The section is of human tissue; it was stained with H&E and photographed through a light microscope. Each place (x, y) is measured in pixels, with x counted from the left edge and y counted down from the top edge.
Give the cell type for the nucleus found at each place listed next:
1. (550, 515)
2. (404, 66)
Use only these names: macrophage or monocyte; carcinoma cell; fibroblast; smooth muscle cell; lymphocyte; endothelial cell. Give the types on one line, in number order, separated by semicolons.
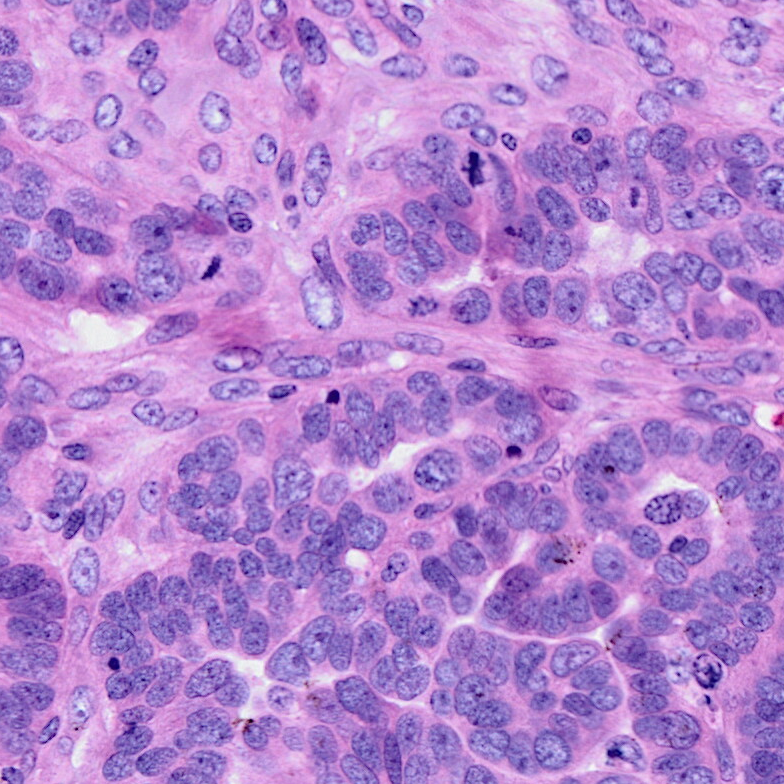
carcinoma cell; fibroblast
